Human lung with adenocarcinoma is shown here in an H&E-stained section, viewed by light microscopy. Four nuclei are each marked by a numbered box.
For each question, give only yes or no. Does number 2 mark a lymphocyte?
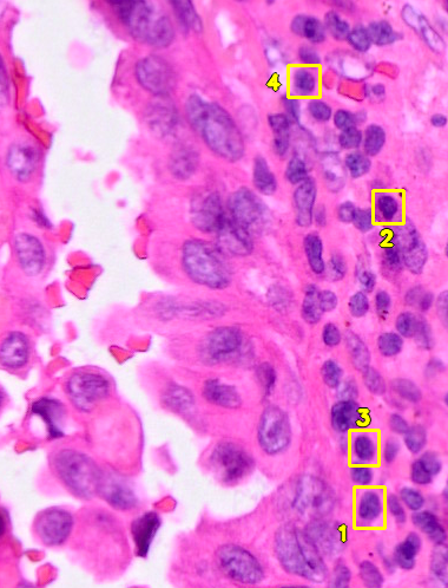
no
